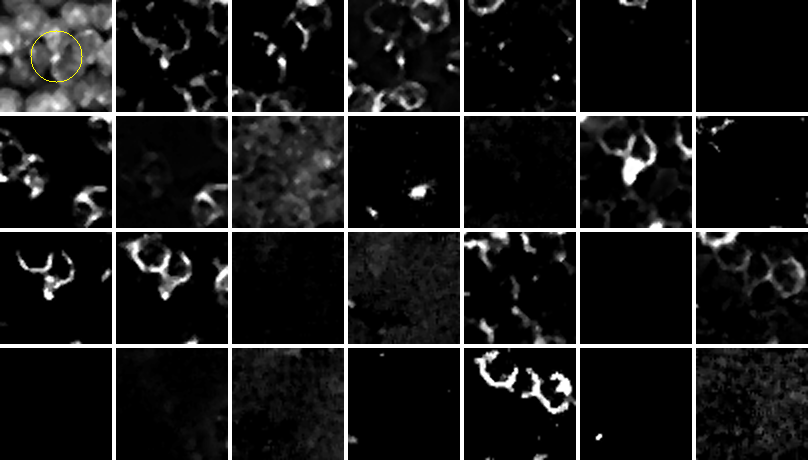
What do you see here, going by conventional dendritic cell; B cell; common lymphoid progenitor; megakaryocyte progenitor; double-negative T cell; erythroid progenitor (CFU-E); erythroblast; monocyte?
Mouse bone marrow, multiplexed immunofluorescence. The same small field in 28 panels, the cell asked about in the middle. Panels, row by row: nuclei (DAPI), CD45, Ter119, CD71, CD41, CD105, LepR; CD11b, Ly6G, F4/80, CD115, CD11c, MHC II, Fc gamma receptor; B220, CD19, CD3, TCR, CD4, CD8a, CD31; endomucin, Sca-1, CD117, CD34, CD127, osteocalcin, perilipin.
I see a B cell.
